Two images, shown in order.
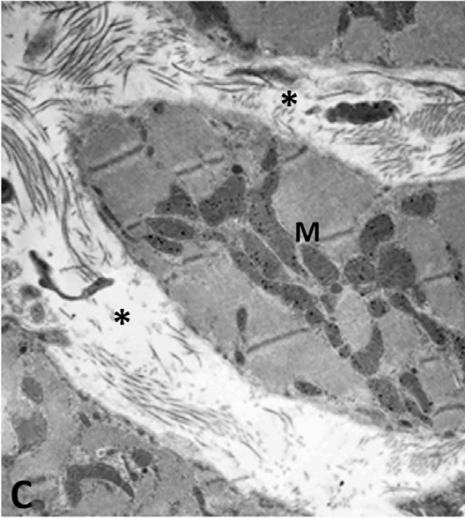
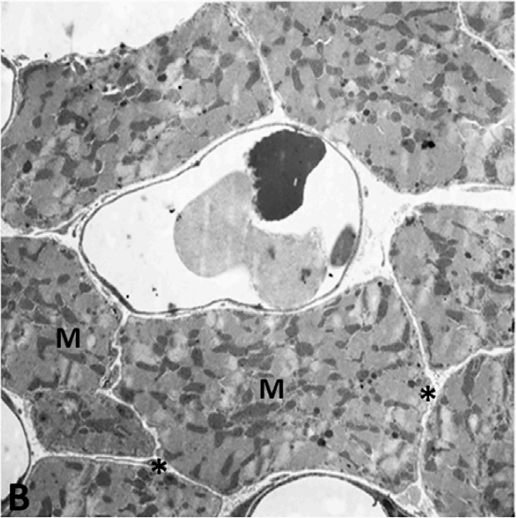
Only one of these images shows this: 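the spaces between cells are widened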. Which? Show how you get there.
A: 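First image: broad pale bands filled with fine fibrillar strands separate the cells. That points to this answer: the first image.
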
